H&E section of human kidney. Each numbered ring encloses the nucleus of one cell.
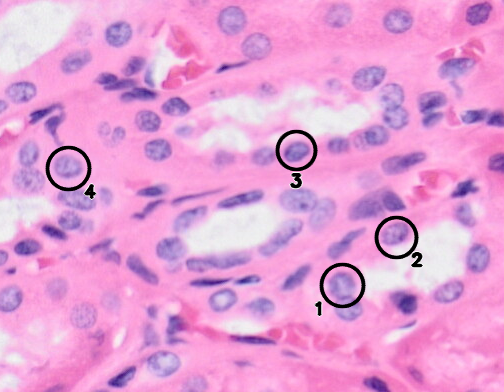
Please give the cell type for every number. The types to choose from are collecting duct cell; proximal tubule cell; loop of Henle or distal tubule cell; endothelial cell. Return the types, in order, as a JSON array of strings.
["loop of Henle or distal tubule cell", "loop of Henle or distal tubule cell", "loop of Henle or distal tubule cell", "collecting duct cell"]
